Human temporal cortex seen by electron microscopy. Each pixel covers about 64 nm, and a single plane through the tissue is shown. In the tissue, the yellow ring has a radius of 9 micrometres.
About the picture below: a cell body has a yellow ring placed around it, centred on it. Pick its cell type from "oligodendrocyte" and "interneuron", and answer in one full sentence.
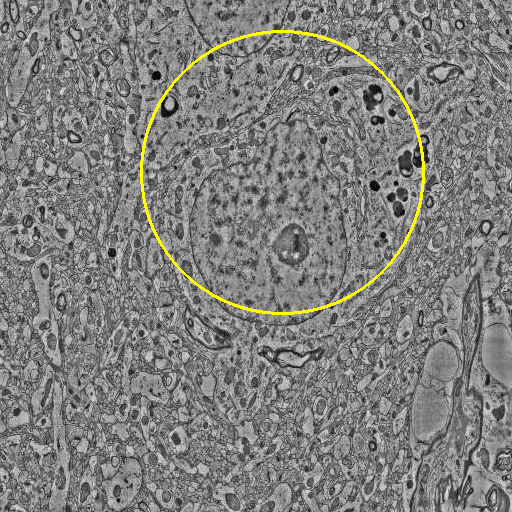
In the picture, an interneuron is the cell sitting at the centre of the yellow ring.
